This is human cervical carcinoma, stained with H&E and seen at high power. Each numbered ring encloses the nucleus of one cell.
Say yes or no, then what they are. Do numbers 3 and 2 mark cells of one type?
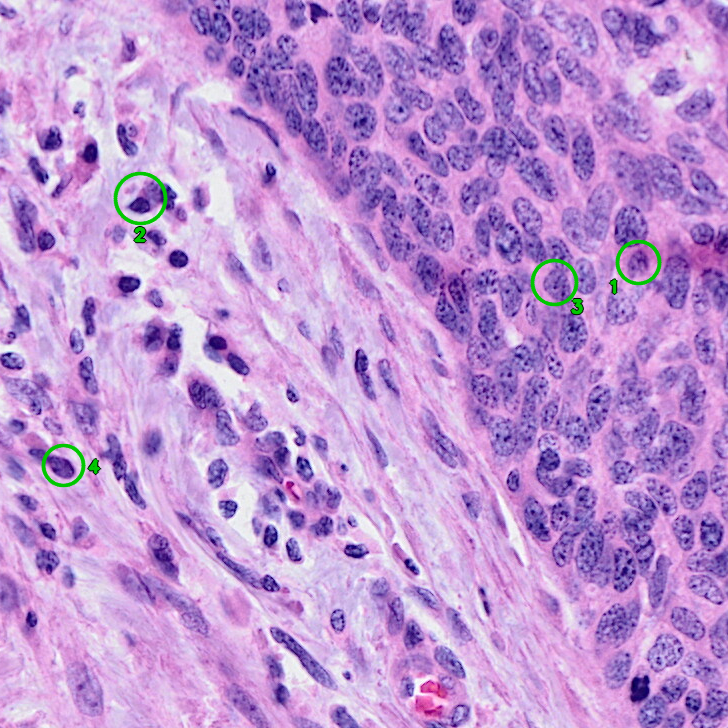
No, cell 3 is a squamous carcinoma cell and cell 2 is a lymphocyte.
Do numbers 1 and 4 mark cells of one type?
No, cell 1 is a squamous carcinoma cell and cell 4 is a lymphocyte.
